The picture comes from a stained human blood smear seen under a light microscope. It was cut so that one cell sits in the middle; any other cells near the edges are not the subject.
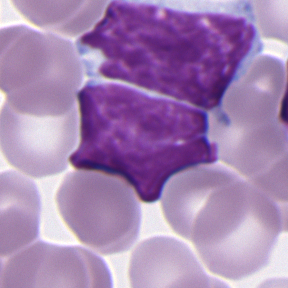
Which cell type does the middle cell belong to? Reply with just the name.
lymphocyte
